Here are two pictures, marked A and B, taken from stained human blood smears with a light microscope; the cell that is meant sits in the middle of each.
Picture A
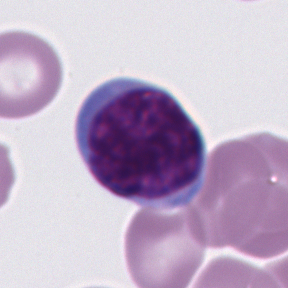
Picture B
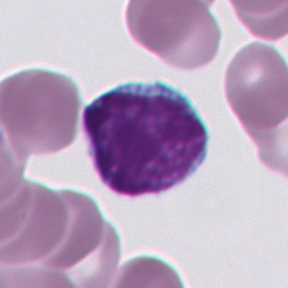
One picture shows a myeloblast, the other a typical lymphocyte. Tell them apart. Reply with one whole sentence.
The cell in picture A is a myeloblast, and the one in picture B is a typical lymphocyte.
